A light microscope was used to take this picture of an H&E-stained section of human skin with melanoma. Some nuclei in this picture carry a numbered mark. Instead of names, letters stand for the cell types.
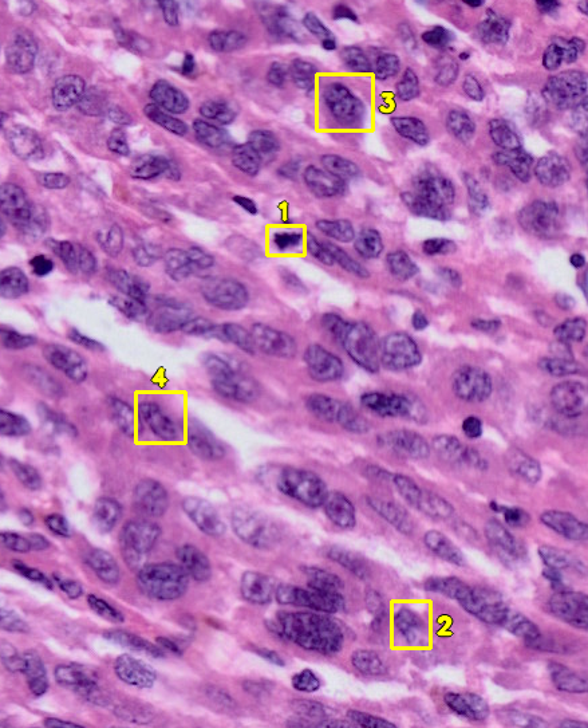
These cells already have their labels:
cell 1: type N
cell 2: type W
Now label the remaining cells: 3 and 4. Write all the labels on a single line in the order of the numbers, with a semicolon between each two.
type W; type W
